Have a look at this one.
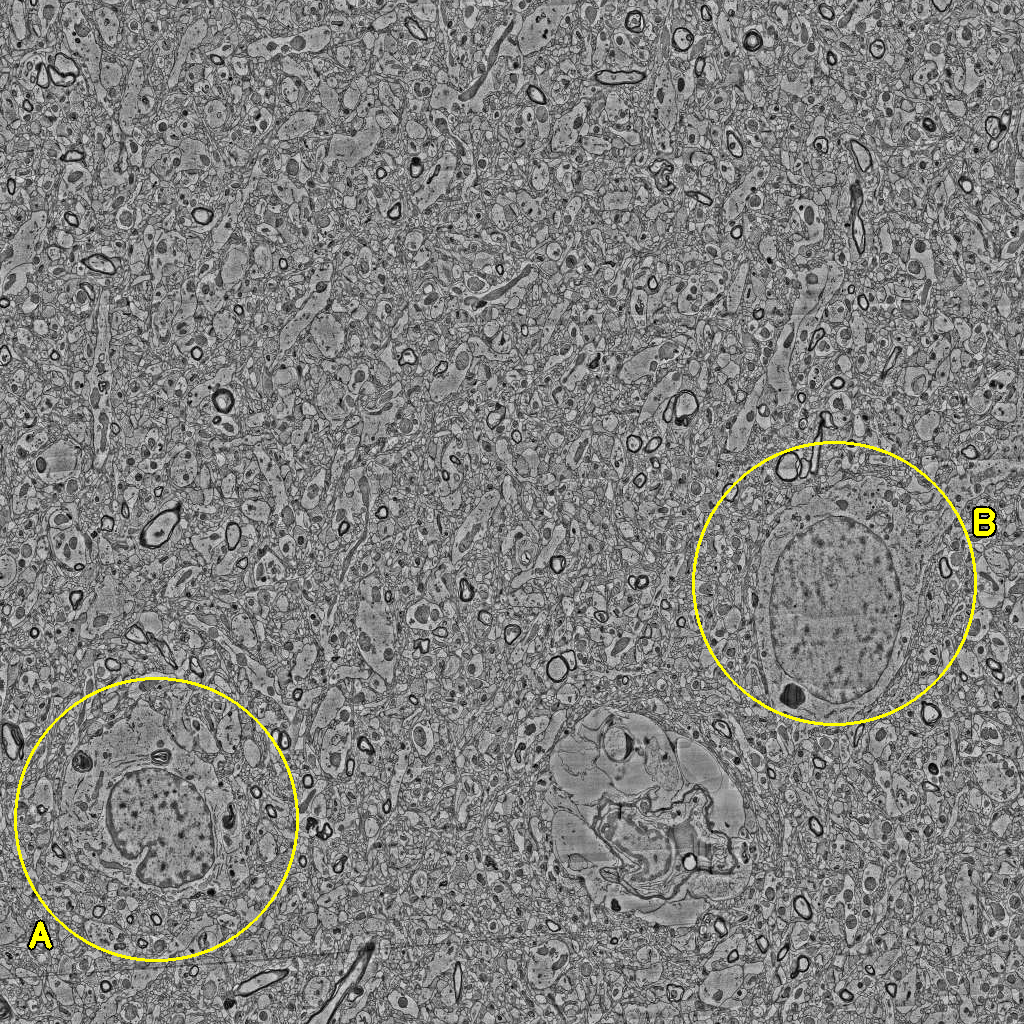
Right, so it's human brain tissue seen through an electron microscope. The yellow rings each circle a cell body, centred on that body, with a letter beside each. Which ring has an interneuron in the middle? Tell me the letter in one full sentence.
That kind of cell is sitting in the middle of ring B there.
